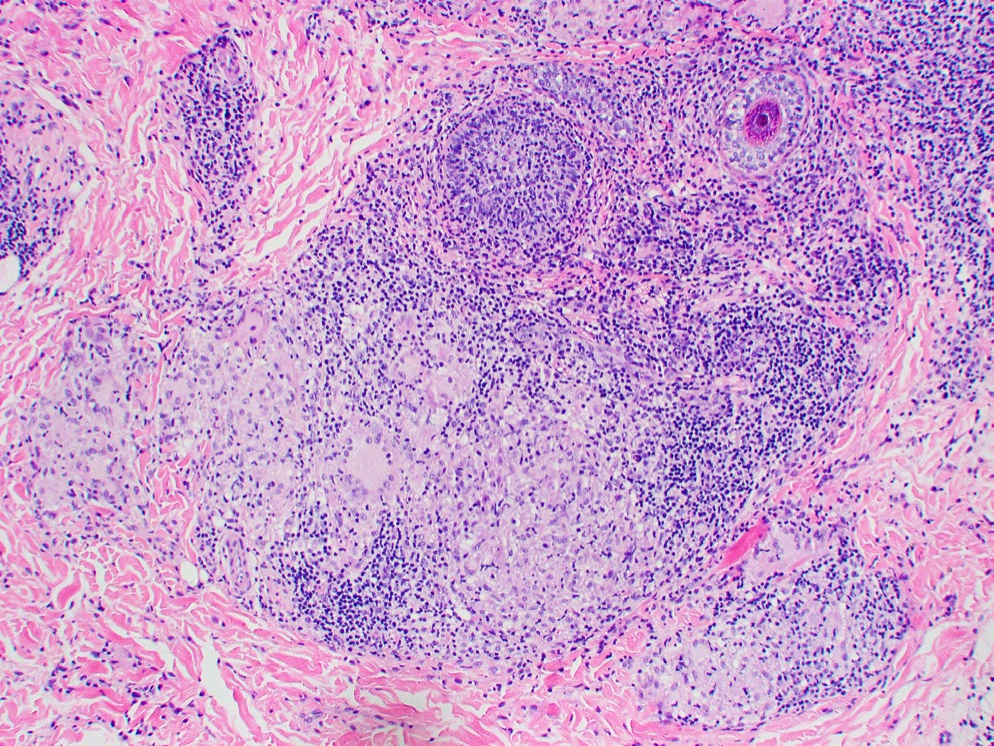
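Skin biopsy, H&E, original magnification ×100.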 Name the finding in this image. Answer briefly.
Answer: Non‐necrotizing granulomatous and lymphocytic infiltrate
